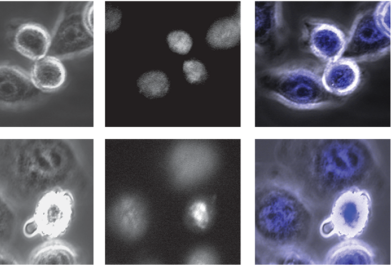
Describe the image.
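Flat, spread interphase cells with large oval nuclei and dim, evenly stained chromatin surround the dividing cells. The dividing cells are rounded up and stand out with a bright phase halo around a smooth outline. In the upper row two round neighbouring cells each hold a nucleus-sized chromatin mass. In the lower row one rounded cell holds a compact, brightly stained mass of condensed chromosomes in its centre, much brighter than the neighbouring interphase nuclei, and a small rounded protrusion sits at its edge.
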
